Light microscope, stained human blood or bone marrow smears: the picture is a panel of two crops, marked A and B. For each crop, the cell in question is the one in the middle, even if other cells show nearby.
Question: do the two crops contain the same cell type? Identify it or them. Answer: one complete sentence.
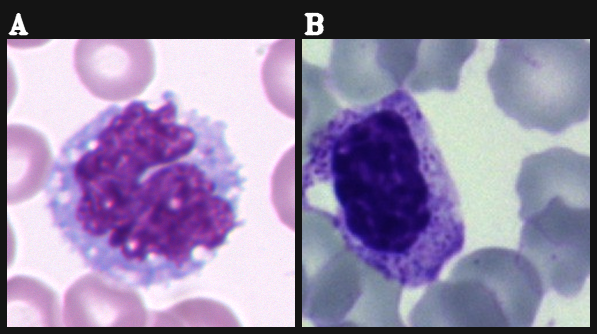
No, the middle of crop A holds a monocyte, and the middle of crop B holds a myelocyte.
